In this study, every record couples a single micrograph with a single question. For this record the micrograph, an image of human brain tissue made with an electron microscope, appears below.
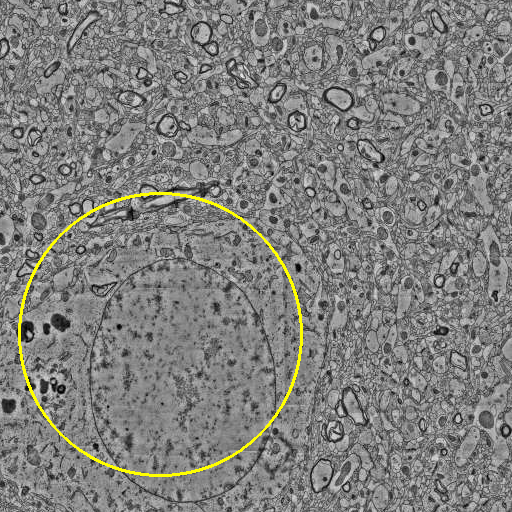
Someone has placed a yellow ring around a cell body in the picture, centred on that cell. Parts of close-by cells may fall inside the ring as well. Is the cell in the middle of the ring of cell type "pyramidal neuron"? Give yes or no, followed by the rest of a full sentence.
Yes, the cell centred in the ring shown in the picture does have that cell type.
